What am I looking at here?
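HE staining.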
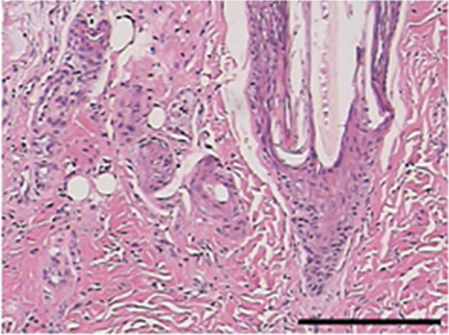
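The follicle on the right is lined by epithelium crowded with small, dark purple nuclei. To the left lie clusters of cells and a few round, empty clear spaces among the pink connective tissue. The pink collagen of the dermis looks less orderly, with many dark nuclei scattered through it.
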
